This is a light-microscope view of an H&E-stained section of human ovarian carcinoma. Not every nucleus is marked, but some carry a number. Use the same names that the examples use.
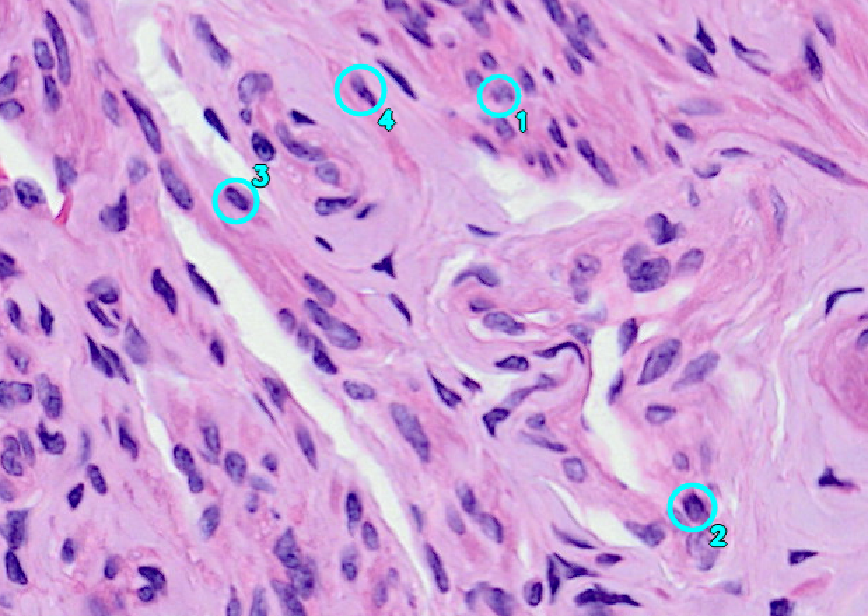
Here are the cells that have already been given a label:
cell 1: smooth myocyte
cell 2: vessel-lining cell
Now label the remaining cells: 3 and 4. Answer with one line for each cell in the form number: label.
3: smooth myocyte
4: smooth myocyte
